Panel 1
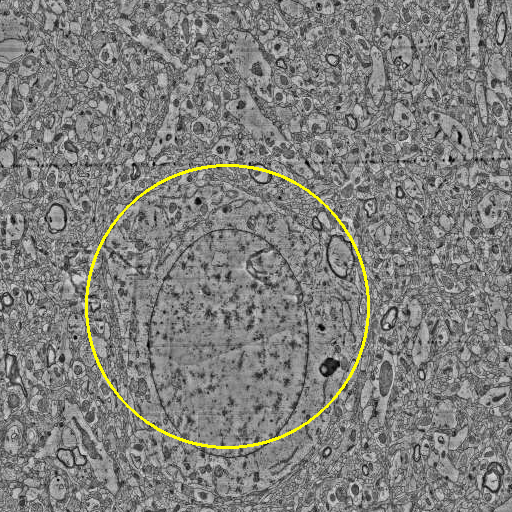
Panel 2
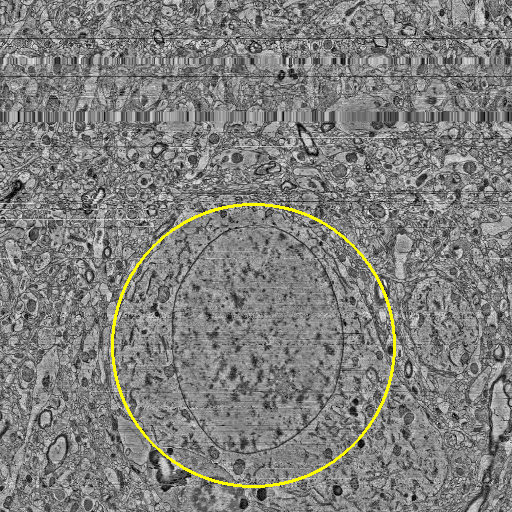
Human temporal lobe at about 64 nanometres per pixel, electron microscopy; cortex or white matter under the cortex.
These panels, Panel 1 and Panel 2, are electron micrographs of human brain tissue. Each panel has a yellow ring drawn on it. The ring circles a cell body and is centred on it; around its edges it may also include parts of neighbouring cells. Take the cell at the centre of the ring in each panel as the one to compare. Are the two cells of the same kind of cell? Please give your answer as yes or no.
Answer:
yes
